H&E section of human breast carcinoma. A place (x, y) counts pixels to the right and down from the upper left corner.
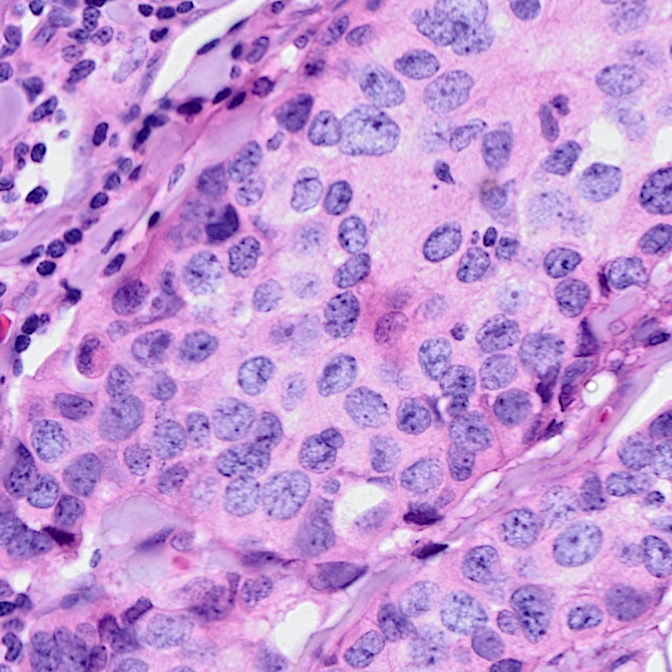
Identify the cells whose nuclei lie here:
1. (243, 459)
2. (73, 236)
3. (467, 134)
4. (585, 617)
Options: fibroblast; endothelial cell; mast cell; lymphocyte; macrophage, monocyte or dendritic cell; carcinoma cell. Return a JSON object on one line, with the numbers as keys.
{"1": "carcinoma cell", "2": "lymphocyte", "3": "carcinoma cell", "4": "carcinoma cell"}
